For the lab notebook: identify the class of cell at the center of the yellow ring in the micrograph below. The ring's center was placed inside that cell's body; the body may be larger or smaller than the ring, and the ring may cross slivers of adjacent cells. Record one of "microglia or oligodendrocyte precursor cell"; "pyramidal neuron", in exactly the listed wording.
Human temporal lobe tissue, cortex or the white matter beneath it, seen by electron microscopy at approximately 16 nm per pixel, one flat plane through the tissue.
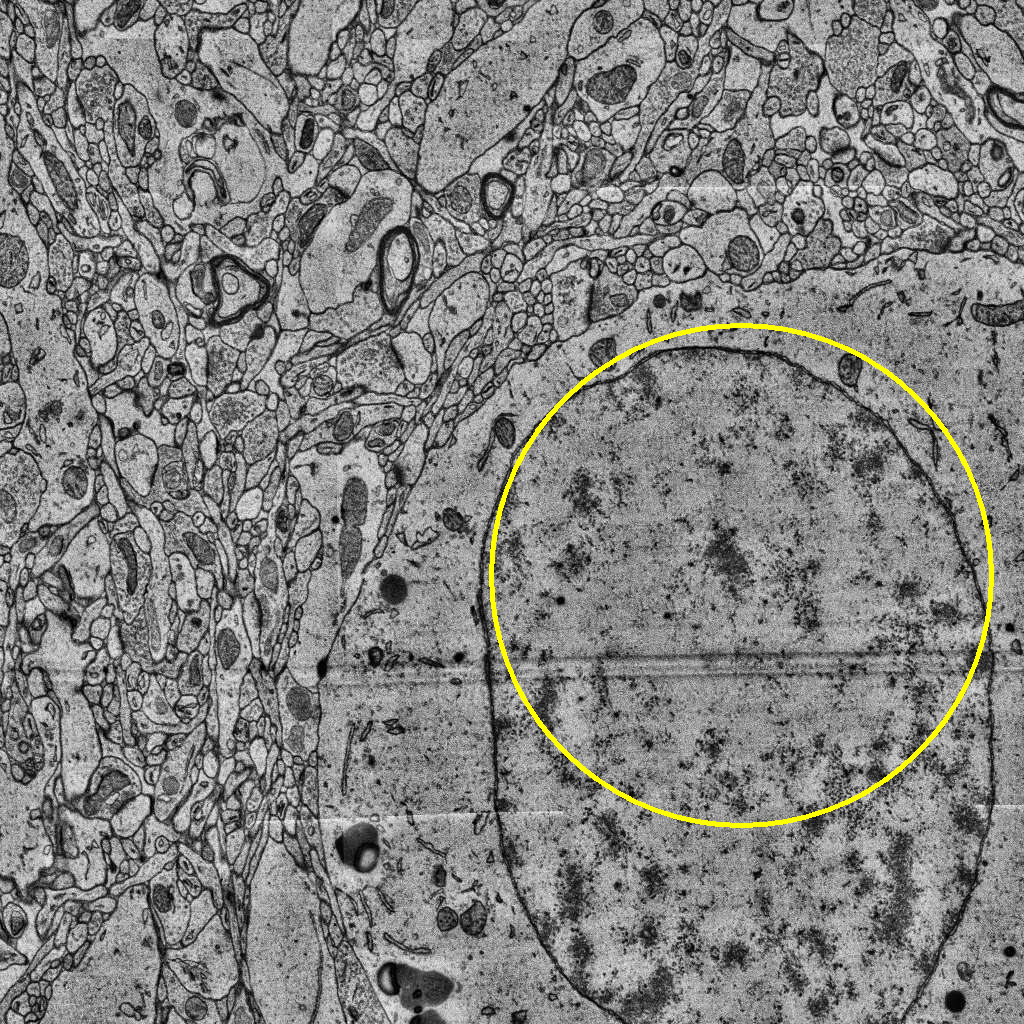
pyramidal neuron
